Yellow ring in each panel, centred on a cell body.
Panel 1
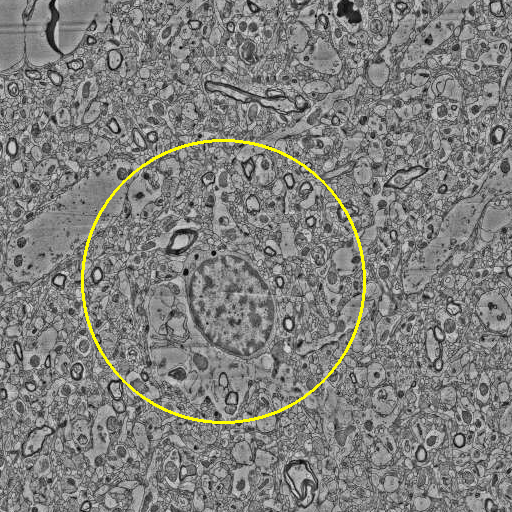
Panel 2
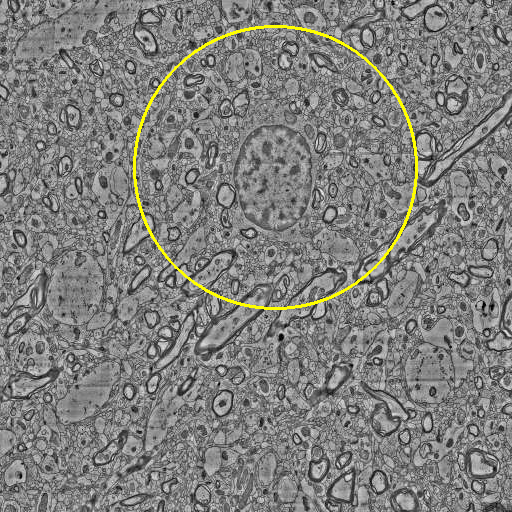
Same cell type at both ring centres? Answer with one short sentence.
Yes, both cells are of the same type.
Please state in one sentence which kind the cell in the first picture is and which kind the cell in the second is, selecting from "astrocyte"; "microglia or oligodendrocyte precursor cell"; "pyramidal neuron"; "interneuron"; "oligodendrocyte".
In each picture the ringed cell is an oligodendrocyte.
